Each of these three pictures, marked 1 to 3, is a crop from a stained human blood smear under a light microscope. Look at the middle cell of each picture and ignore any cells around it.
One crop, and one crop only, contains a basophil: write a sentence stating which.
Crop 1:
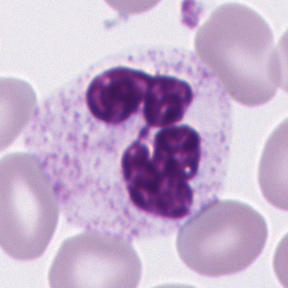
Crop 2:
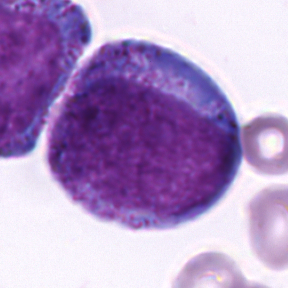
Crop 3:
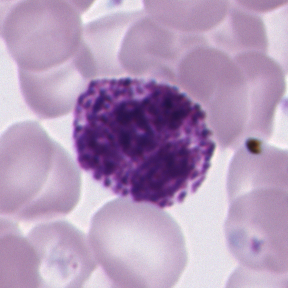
Crop 3 is the one in the set with a basophil at the center.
